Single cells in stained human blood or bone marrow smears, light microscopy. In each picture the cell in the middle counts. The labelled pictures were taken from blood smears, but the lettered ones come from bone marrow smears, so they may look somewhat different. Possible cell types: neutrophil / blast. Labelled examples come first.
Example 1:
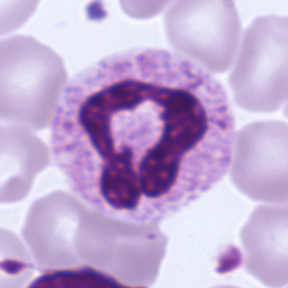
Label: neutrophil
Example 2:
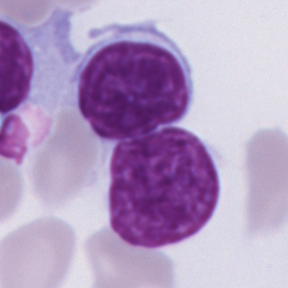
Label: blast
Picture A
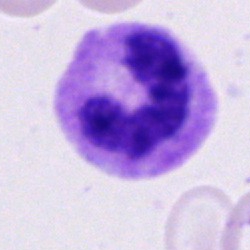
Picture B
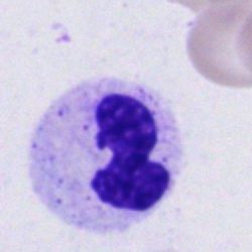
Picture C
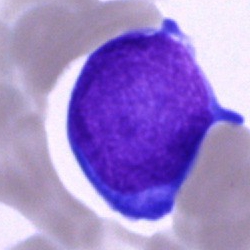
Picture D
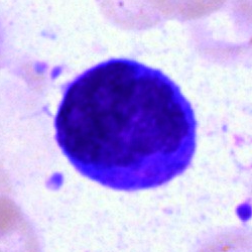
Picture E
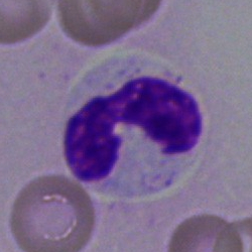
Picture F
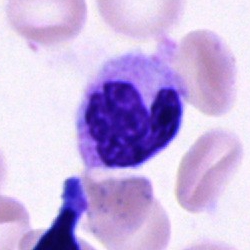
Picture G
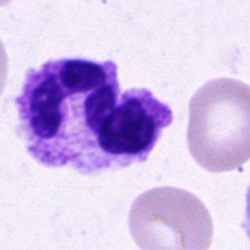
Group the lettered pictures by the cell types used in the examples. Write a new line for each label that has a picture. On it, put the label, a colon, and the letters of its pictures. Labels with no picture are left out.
neutrophil: A, B, E, F, G
blast: C, D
